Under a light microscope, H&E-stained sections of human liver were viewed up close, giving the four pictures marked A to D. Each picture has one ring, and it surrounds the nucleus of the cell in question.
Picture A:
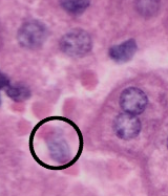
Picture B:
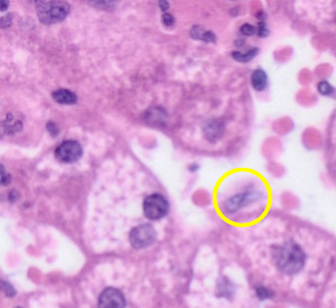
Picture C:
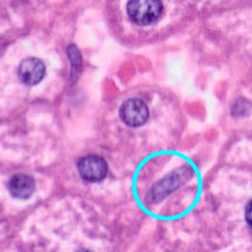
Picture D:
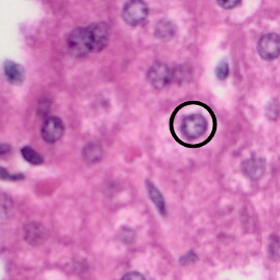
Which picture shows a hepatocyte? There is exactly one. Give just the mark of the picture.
D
